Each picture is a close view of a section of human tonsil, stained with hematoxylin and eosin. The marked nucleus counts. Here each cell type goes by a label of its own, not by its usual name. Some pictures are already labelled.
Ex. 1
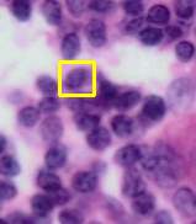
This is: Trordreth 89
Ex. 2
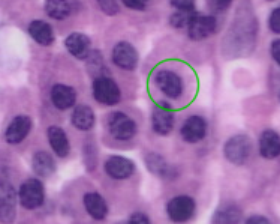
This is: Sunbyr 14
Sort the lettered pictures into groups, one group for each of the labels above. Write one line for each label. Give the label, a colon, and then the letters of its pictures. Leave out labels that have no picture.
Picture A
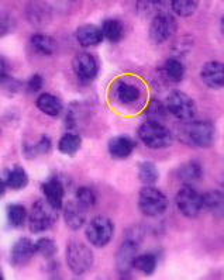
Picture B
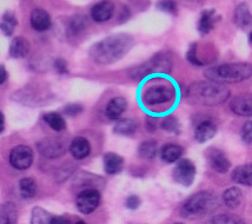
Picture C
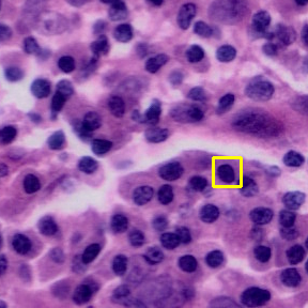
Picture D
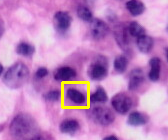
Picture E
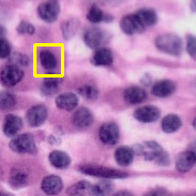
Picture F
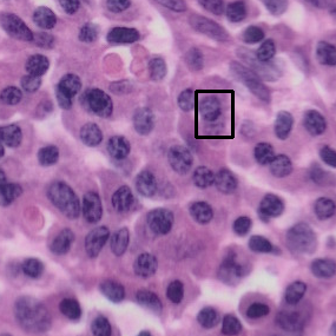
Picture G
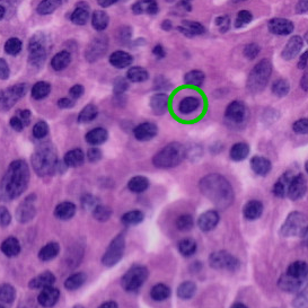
Sunbyr 14: A, B, C, D, E, F, G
